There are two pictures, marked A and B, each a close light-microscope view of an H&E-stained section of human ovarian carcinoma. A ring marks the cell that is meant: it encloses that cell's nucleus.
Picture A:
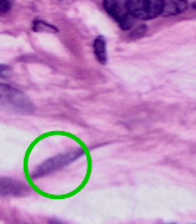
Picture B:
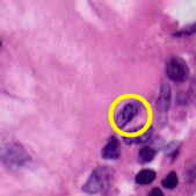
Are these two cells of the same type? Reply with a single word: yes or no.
no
